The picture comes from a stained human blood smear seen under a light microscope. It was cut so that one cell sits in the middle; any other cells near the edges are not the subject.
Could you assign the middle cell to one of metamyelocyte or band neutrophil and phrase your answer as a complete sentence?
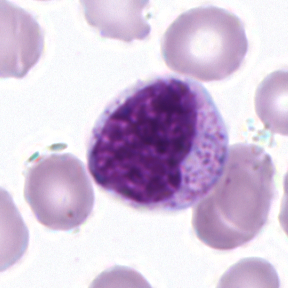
To answer, the cell in the center of the crop is a metamyelocyte.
